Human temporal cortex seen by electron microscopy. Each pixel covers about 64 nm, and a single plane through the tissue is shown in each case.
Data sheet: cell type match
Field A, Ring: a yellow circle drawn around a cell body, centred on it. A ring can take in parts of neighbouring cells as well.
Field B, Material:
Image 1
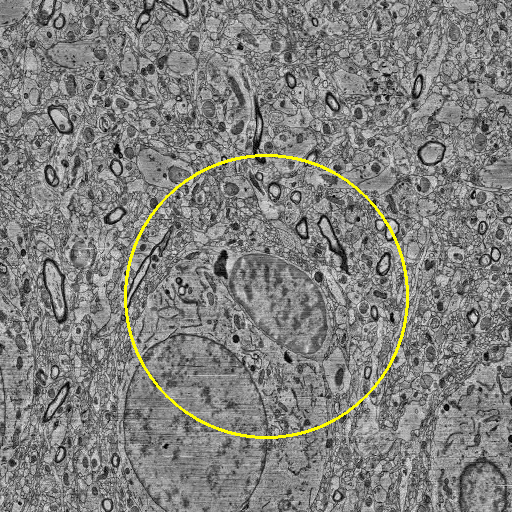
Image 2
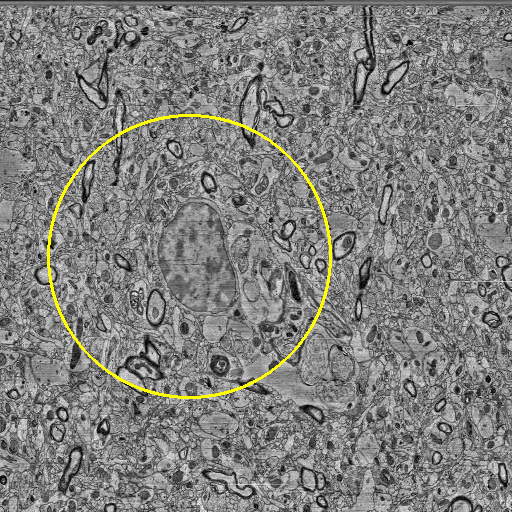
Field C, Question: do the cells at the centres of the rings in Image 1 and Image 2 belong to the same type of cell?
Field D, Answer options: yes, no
yes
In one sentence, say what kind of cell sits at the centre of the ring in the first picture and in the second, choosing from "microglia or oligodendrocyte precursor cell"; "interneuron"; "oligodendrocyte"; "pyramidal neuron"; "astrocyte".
In the first picture and in the second, the ring is centred on an oligodendrocyte.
